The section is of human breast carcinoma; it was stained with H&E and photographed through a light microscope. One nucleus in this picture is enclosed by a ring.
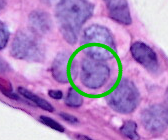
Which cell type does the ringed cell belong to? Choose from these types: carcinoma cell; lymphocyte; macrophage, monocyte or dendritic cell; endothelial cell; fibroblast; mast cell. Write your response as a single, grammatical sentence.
In this section of tissue, the ringed cell is a carcinoma cell.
